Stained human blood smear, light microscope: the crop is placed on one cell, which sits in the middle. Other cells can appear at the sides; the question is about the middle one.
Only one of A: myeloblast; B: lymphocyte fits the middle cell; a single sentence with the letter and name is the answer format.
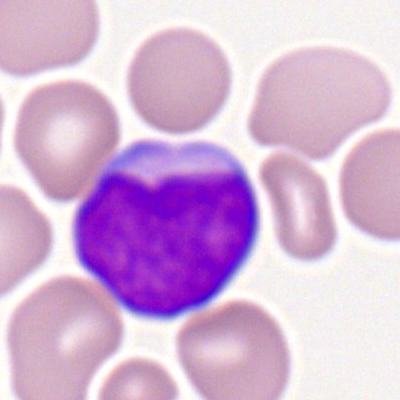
Of the choices given, option A is right, as the central cell is a myeloblast.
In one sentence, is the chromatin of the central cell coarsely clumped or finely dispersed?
In this nucleus, the chromatin is arranged in coarse clumps.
